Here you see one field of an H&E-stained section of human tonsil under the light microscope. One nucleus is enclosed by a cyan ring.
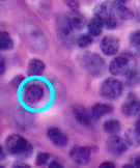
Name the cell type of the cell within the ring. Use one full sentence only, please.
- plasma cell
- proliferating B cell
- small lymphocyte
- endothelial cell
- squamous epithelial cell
By cell type, the cell within the ring is an endothelial cell.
